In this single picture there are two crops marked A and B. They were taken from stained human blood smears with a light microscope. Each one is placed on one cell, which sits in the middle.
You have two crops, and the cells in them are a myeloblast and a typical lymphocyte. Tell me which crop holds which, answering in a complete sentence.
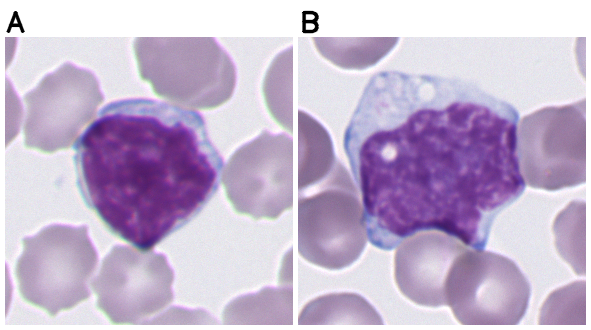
Identified in crop A is a typical lymphocyte, with a myeloblast identified in crop B.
